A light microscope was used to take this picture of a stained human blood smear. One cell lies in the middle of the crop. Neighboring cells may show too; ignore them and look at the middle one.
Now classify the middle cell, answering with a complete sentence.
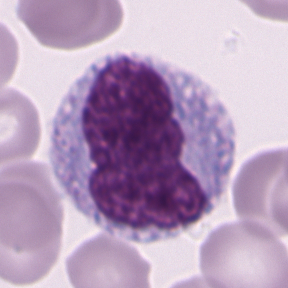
Standing at the centre of this crop is a monocyte.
